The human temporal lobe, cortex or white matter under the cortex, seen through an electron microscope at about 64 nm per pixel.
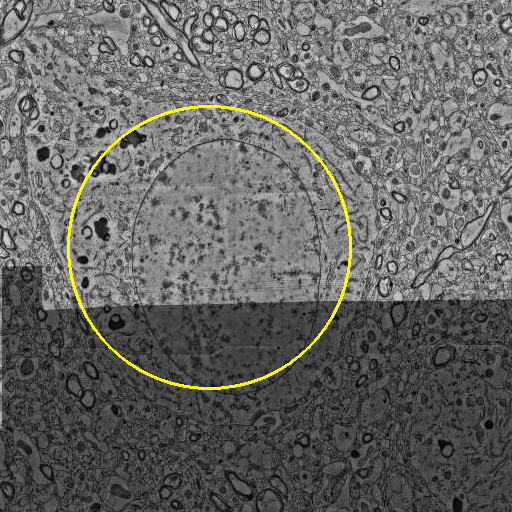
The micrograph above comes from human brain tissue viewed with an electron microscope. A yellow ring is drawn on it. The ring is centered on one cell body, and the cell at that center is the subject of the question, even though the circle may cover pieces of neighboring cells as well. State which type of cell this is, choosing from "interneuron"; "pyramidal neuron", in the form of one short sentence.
The cell the ring is centered on is a pyramidal neuron.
